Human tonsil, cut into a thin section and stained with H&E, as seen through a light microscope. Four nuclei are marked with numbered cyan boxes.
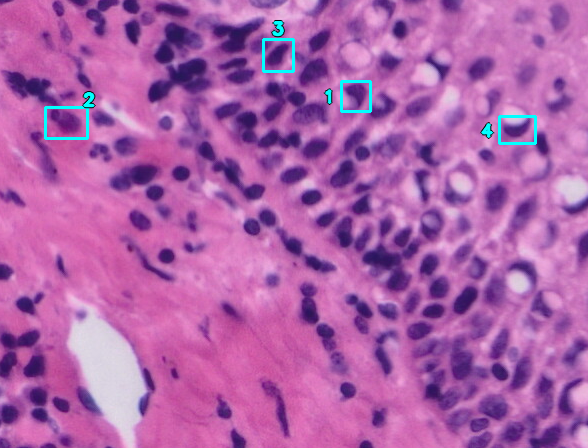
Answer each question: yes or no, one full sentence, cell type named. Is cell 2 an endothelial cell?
Yes, an endothelial cell is what the cell numbered 2 is.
